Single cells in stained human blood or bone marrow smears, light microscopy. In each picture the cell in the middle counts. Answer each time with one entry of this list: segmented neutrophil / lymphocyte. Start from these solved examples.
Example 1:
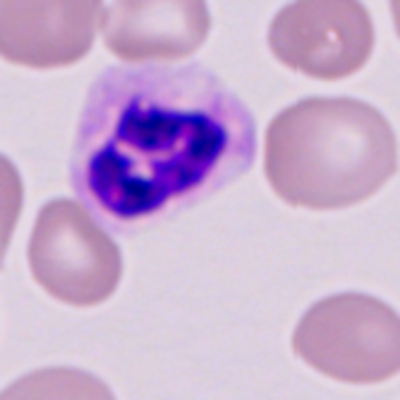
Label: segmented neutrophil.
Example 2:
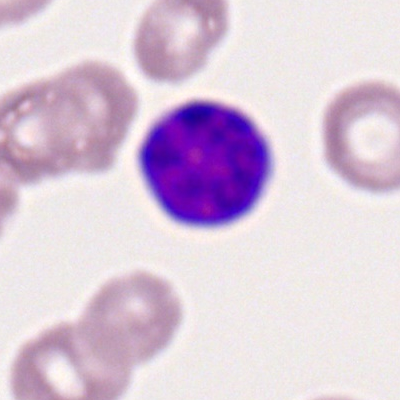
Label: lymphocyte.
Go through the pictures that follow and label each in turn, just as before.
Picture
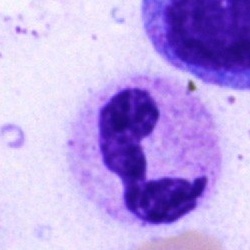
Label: segmented neutrophil.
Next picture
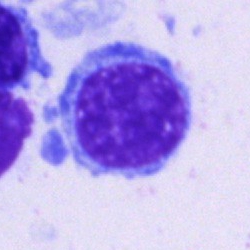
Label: lymphocyte.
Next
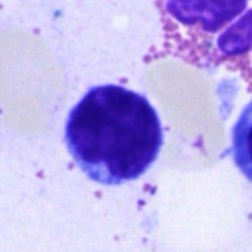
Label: lymphocyte.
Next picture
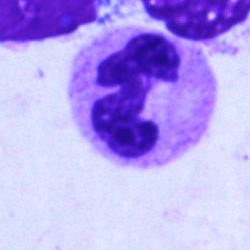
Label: segmented neutrophil.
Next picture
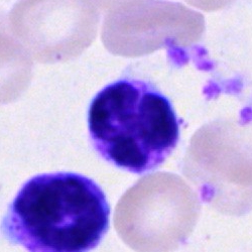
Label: segmented neutrophil.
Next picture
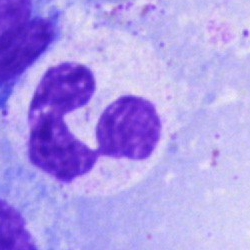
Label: segmented neutrophil.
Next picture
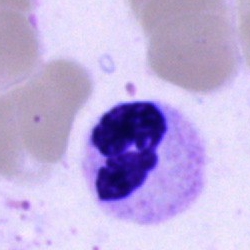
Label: segmented neutrophil.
